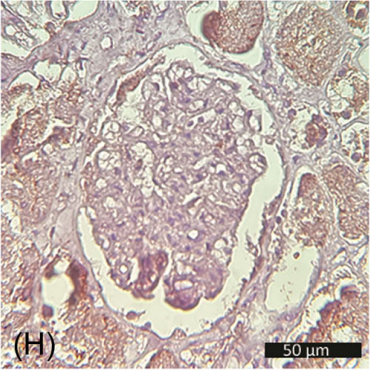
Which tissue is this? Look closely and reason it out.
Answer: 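Kidney. Central lobulated capillary tuft in a clear space surrounded by a capsule. Brown-stained tubule cross-sections around it.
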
